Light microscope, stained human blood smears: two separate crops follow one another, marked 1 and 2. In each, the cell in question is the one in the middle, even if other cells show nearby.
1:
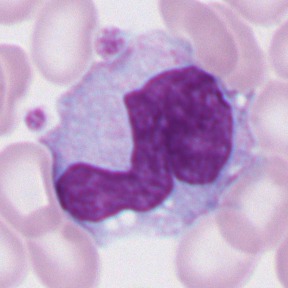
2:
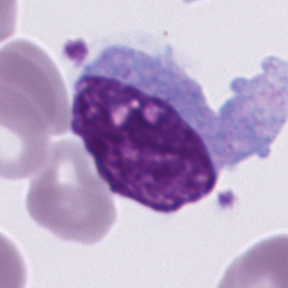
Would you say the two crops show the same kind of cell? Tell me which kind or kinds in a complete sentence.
Yes, in the middle of both crops lie monocytes.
